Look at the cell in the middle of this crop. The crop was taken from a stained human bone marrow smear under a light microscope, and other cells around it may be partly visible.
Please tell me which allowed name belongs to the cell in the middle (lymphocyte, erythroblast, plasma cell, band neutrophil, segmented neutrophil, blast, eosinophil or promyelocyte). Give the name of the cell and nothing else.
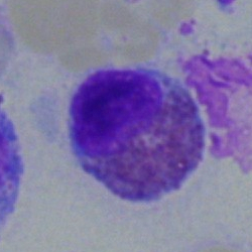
eosinophil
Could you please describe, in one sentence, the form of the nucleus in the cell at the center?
What stands out is a nucleus forming one compact round, oval or kidney-shaped mass.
